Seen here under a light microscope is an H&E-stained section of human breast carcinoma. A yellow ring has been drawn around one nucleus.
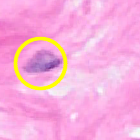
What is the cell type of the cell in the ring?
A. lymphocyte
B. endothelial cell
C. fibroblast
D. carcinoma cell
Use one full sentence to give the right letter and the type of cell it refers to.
Option C wins here: the cell in the ring is a fibroblast.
